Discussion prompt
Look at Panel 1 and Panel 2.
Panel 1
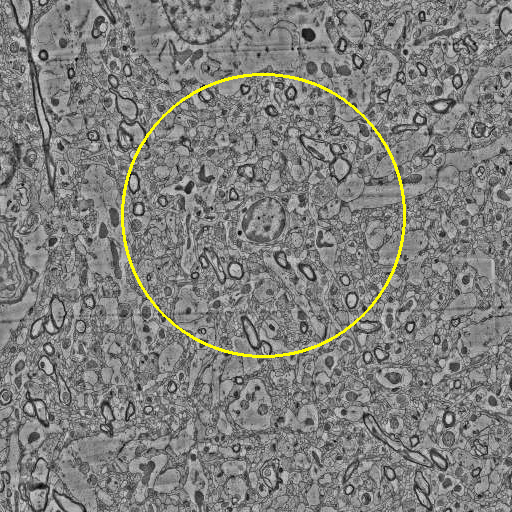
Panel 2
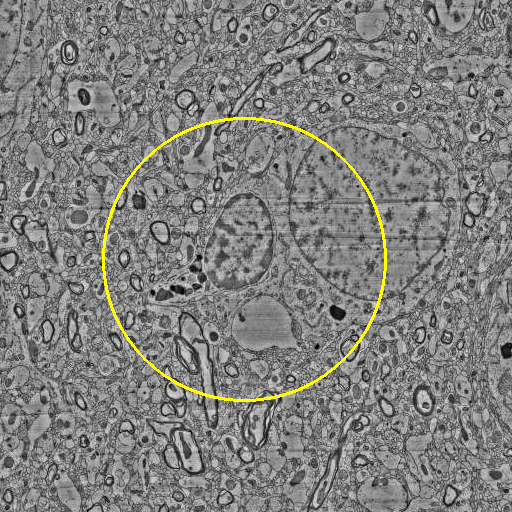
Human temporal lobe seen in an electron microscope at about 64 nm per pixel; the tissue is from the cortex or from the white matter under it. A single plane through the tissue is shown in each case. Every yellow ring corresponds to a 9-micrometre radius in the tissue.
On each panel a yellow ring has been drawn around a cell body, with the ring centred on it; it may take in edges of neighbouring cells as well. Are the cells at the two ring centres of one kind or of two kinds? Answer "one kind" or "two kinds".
one kind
